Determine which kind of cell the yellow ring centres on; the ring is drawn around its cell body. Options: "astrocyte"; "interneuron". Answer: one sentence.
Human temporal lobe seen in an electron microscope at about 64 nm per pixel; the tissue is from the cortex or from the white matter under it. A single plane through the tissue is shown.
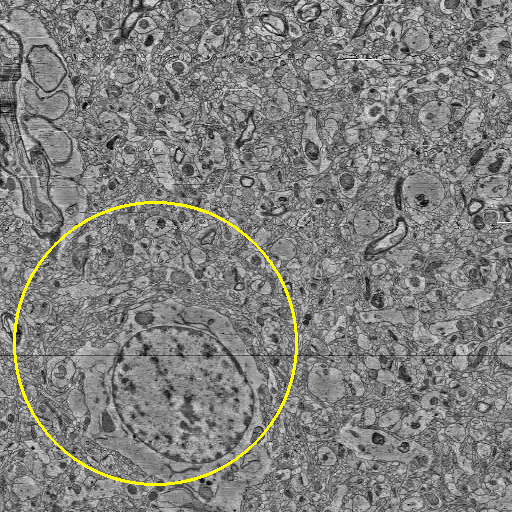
The ring centres on an astrocyte.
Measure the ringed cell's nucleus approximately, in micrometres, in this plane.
In this plane, roughly 10 by 8 micrometres.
